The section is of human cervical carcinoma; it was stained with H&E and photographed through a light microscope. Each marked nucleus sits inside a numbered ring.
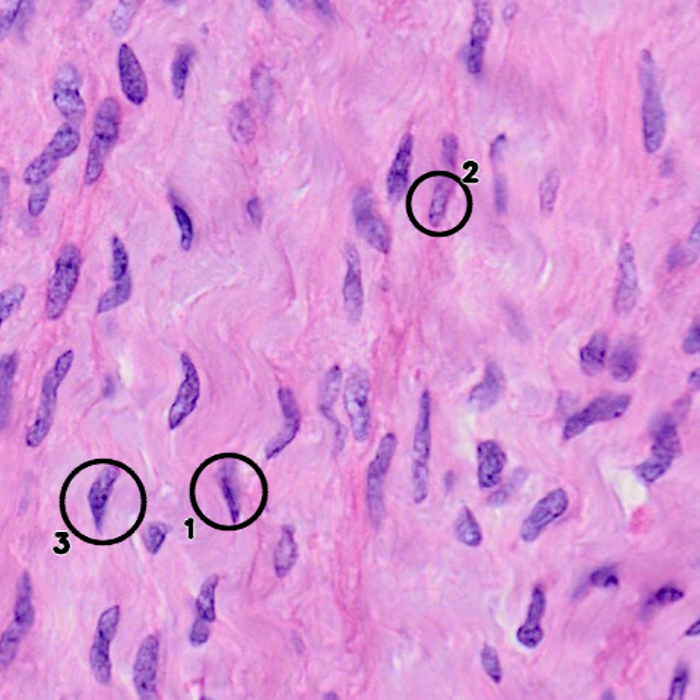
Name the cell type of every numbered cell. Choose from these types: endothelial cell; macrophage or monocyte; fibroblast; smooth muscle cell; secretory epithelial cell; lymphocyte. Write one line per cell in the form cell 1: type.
cell 1: fibroblast
cell 2: smooth muscle cell
cell 3: fibroblast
